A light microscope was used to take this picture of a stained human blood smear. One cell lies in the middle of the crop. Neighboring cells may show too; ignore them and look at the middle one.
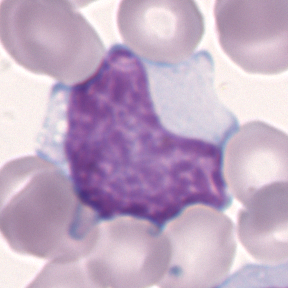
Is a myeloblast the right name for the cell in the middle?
yes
